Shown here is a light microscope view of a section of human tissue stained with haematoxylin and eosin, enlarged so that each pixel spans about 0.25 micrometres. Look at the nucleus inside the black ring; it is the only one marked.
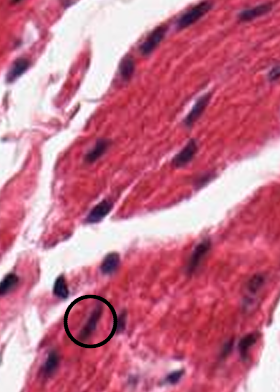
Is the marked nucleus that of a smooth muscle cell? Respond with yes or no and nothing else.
yes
